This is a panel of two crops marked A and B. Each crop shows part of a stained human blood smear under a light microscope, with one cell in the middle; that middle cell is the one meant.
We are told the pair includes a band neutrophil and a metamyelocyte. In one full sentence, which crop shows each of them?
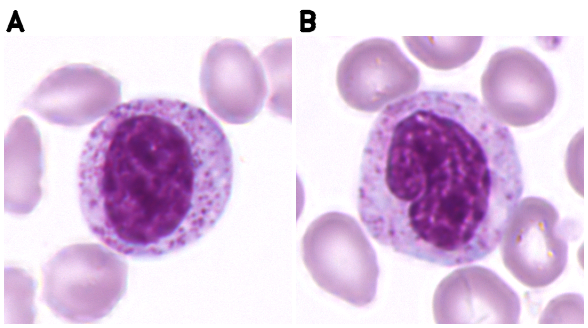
Identified in crop A is a metamyelocyte, with a band neutrophil identified in crop B.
